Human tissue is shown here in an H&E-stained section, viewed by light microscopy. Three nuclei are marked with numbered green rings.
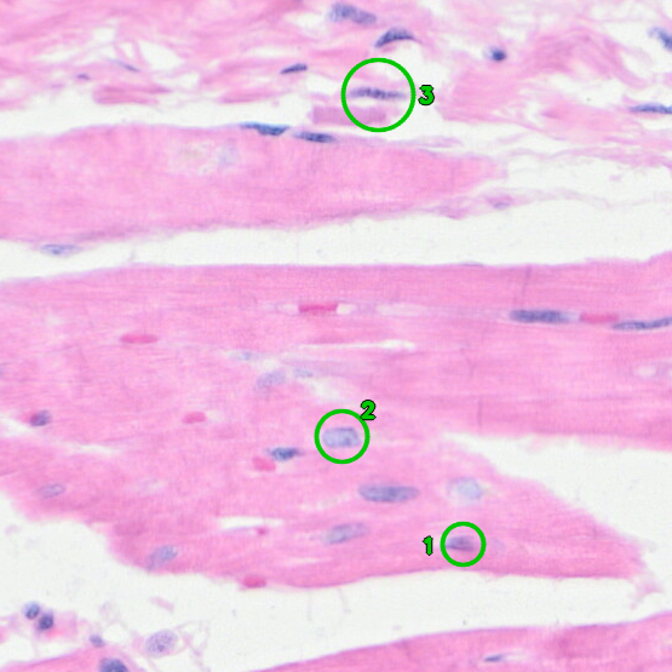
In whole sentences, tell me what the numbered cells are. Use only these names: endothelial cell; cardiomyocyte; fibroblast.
Cell 1 is an endothelial cell, cell 2 is a cardiomyocyte and cell 3 is a fibroblast.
